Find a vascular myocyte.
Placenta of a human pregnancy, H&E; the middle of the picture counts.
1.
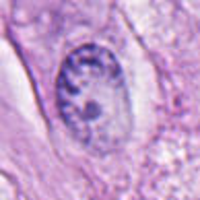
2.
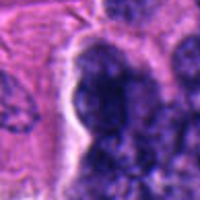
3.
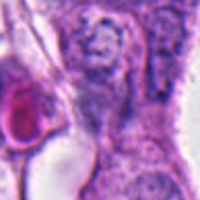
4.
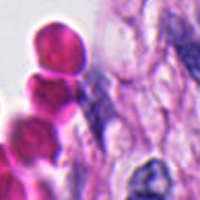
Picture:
4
